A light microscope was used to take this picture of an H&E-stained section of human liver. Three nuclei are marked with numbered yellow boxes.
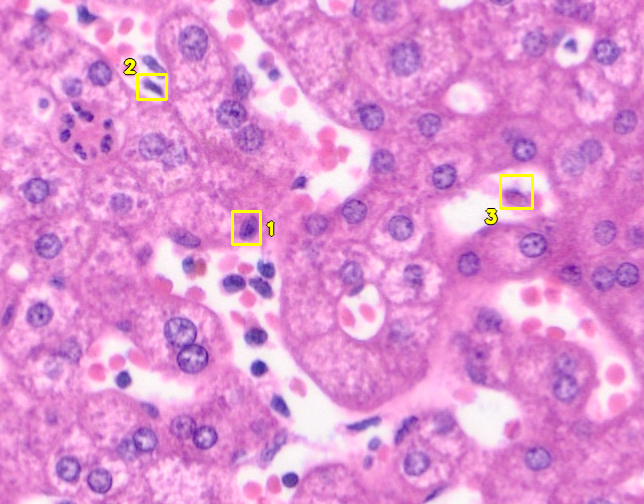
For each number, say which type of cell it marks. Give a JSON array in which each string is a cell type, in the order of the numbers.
["fibroblast or stellate cell", "lymphocyte", "Kupffer cell"]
